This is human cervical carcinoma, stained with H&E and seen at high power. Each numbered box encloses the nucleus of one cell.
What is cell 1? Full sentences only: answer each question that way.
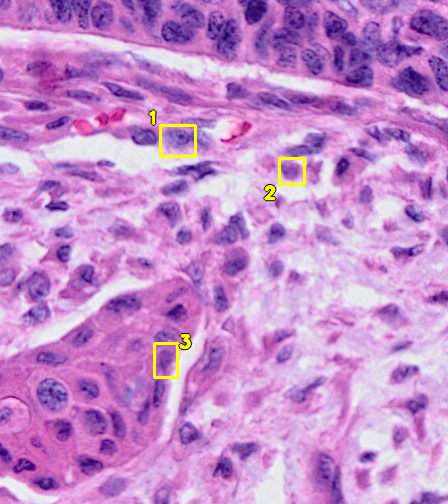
In this section, the cell tagged 1 is an endothelial cell.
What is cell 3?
Regarding cell 3, this one is a squamous carcinoma cell.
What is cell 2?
Corresponding to a fibroblast is the cell labelled 2.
